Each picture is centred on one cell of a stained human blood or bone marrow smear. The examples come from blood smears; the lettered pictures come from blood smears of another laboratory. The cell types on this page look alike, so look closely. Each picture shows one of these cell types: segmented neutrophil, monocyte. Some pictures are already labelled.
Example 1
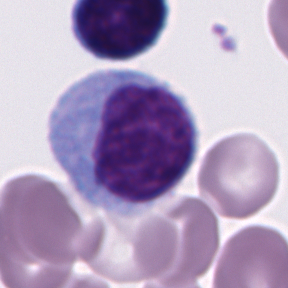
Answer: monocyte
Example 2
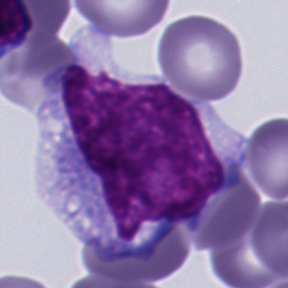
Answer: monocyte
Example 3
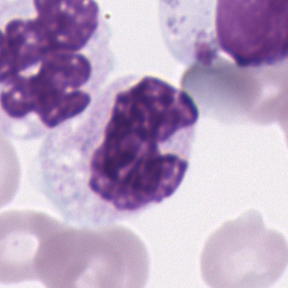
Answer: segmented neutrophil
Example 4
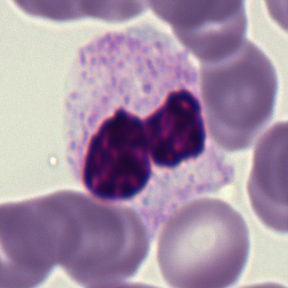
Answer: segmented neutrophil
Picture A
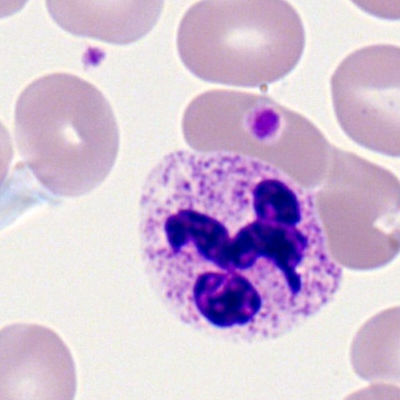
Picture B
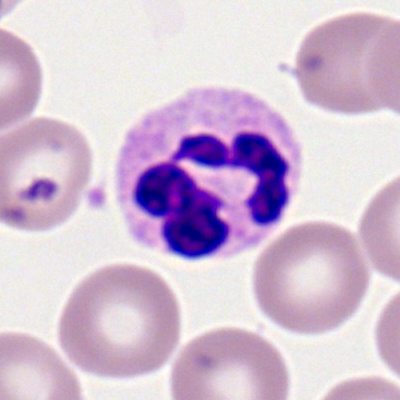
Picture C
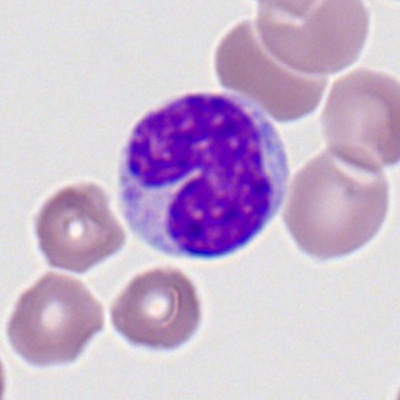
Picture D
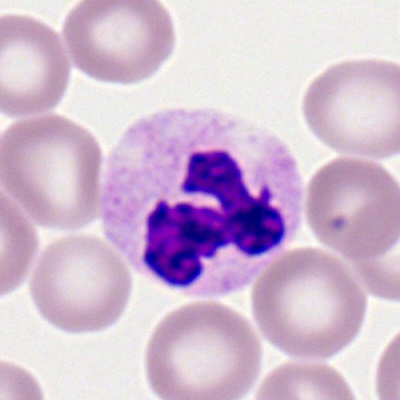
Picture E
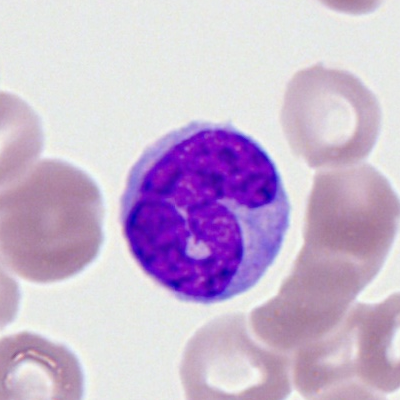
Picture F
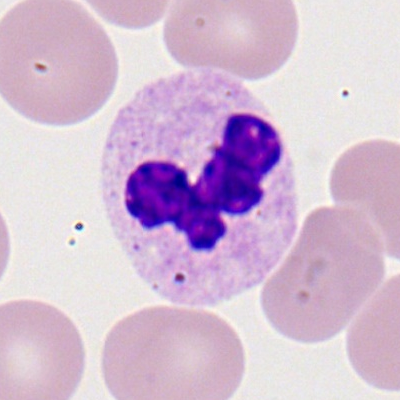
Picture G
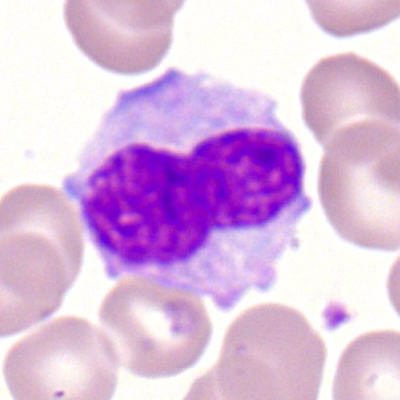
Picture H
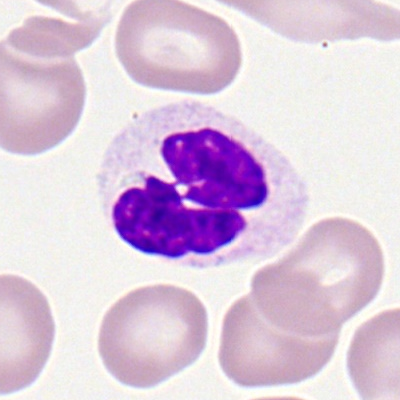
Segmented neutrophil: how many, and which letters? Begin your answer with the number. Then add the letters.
5, namely A, B, D, F, H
